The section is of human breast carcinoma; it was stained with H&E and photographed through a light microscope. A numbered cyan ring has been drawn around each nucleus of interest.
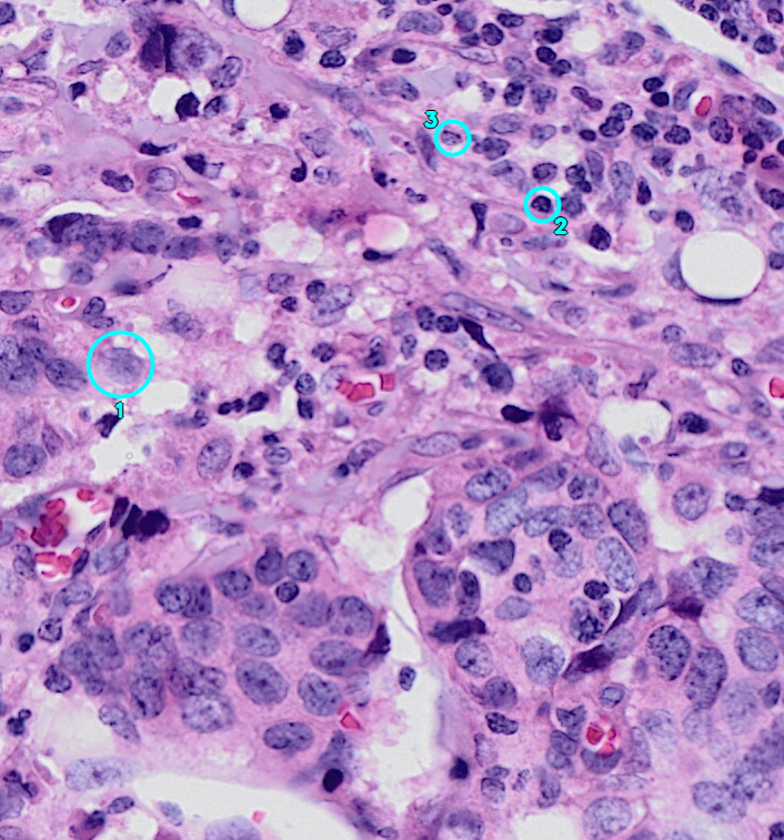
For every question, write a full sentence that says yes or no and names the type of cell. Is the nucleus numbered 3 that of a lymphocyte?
Yes, that is so; number 3 marks a lymphocyte.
